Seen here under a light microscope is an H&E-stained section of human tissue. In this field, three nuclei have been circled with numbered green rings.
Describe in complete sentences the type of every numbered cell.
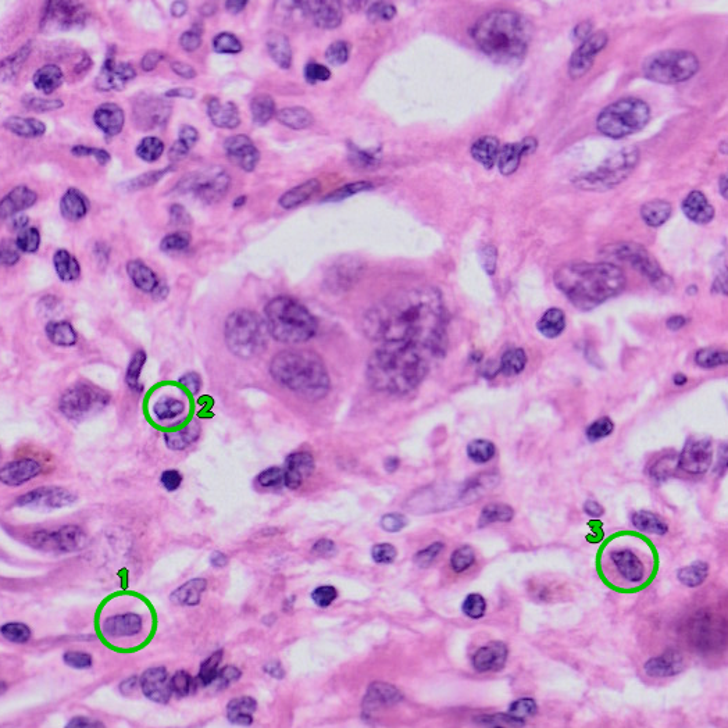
Cells 1 and 3 are macrophages or monocytes. Cell 2 is a lymphocyte.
